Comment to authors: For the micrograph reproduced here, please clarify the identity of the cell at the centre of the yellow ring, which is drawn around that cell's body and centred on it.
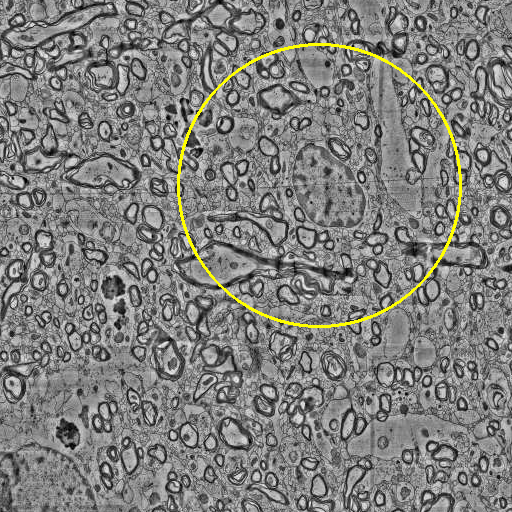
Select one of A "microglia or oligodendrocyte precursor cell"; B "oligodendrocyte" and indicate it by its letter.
A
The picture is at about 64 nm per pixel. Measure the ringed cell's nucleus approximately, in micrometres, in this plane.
The nucleus has a long axis of about 6 micrometres and a short axis of about 4 micrometres in this plane.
